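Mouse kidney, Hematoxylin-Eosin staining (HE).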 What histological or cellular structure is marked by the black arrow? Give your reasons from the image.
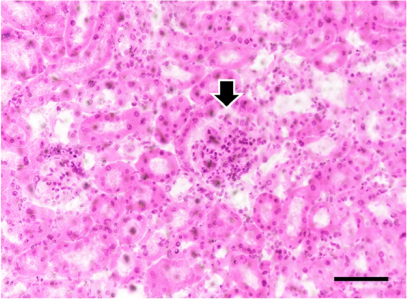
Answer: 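The arrow points to a round nucleus-rich tuft within a capsule-like space. Surrounding tubules are cut in cross section.
Hence: glomeruli.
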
